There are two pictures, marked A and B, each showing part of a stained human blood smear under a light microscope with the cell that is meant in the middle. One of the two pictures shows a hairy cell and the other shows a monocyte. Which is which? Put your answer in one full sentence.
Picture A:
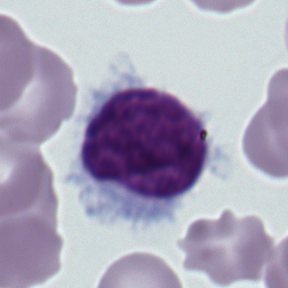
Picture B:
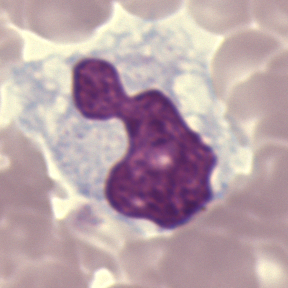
The cell in picture A is a hairy cell, and the one in picture B is a monocyte.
